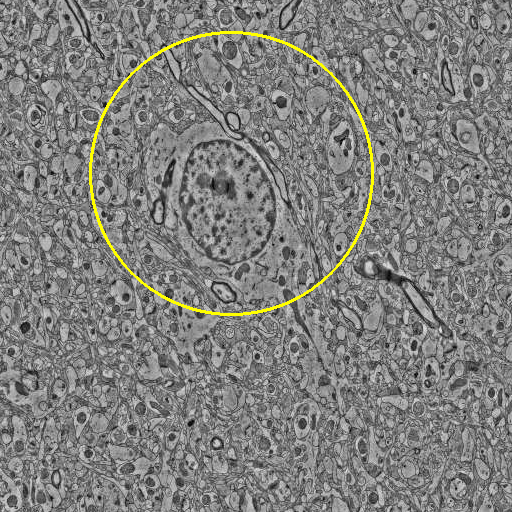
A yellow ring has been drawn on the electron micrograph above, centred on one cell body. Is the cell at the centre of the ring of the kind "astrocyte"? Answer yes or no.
yes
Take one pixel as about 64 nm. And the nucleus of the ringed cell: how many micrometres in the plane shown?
The nucleus is approximately 8 micrometers long by 6 micrometers wide in this plane.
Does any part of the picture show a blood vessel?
No, there is none.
